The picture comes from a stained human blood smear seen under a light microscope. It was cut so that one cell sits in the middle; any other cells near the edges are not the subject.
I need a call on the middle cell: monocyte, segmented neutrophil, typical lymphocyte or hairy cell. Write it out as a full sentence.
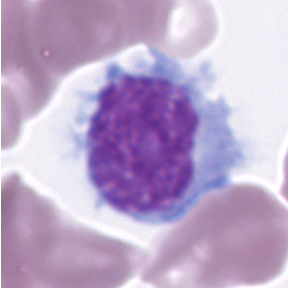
Whatever else lies nearby, the middle cell is a hairy cell.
